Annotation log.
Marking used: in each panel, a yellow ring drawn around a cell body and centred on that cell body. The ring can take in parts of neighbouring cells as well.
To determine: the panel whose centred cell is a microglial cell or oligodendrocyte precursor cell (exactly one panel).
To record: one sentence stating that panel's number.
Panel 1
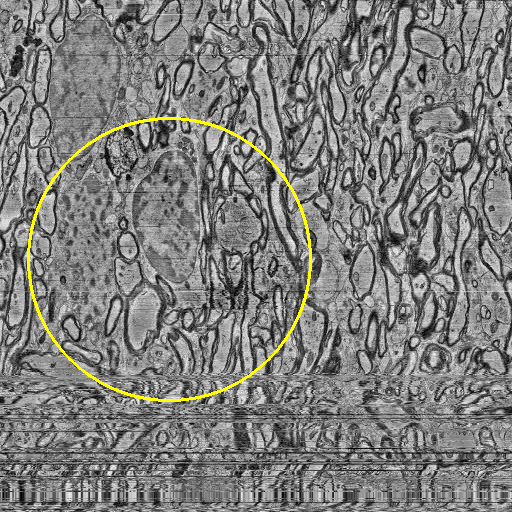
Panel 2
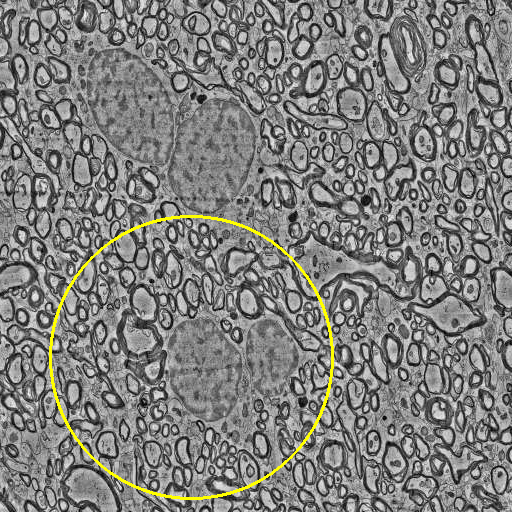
Panel 1 shows it at the centre of its ring.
